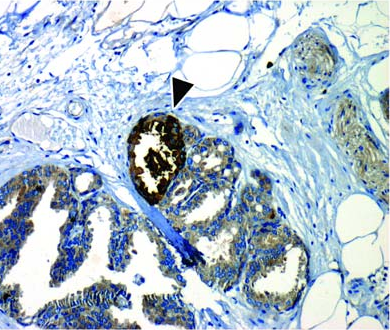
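Glandular tumour tissue lying within fat tissue. Clusters of epithelial cells with blue nuclei and brown-stained cytoplasm form glands with irregular lumens in the lower left and center. One small gland at the center is stained intensely dark brown. Large empty fat cells with thin walls lie at the right and upper parts, next to loose pale blue connective tissue. Bundles of brown-tinged tissue lie at the upper right edge.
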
